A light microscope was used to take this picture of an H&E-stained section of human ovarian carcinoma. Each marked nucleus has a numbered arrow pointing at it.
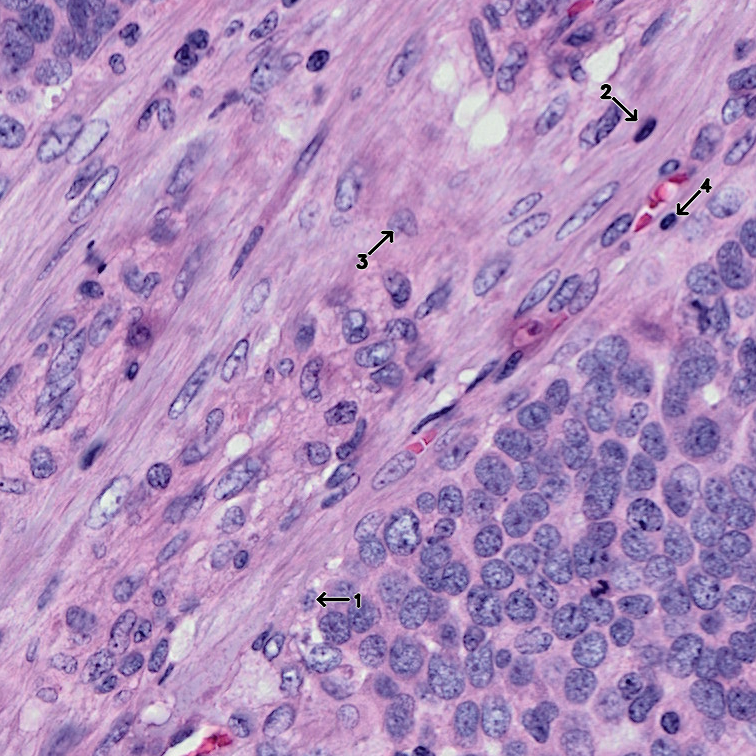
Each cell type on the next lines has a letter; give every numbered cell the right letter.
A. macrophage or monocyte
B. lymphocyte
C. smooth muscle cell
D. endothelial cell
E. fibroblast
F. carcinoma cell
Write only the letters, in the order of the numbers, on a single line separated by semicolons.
A; B; E; B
